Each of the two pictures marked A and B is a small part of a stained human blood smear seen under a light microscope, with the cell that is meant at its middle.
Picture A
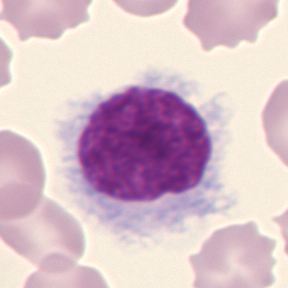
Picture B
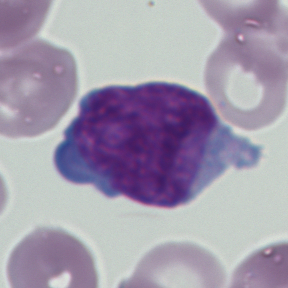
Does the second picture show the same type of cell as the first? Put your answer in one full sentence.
No. Picture A shows a hairy cell, but picture B shows a myeloblast.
